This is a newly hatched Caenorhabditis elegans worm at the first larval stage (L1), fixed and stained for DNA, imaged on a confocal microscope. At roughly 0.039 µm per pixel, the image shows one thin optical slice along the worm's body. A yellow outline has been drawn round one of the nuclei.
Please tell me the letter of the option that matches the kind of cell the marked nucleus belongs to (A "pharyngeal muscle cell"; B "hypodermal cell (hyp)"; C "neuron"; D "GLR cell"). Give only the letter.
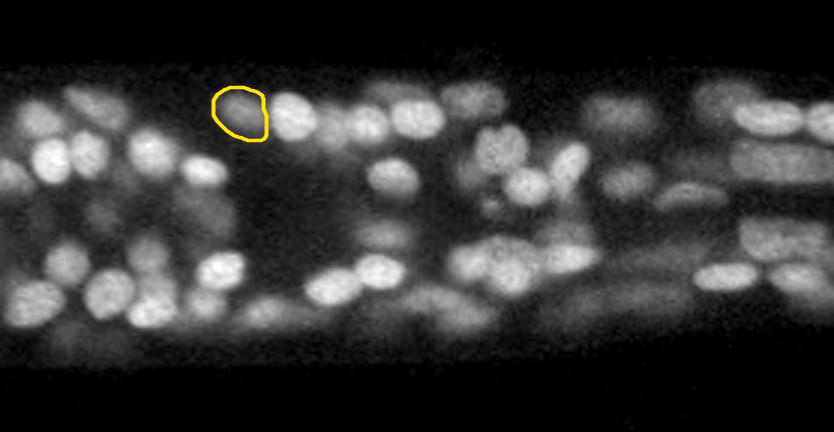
C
